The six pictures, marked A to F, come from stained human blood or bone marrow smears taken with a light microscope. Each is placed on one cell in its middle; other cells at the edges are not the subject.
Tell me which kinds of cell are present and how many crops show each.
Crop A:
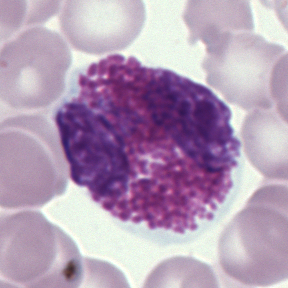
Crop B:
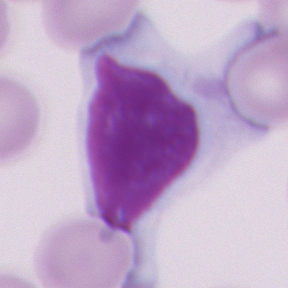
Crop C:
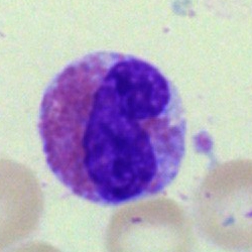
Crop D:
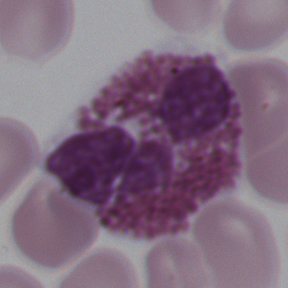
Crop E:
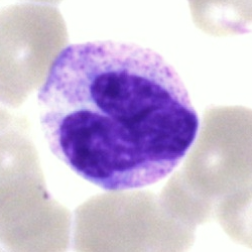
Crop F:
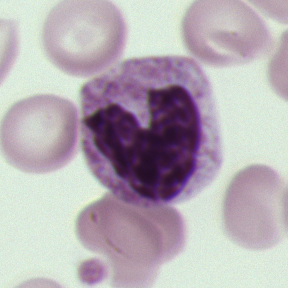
eosinophil: 3
band neutrophil: 2
lymphocyte: 1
